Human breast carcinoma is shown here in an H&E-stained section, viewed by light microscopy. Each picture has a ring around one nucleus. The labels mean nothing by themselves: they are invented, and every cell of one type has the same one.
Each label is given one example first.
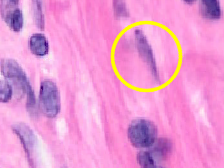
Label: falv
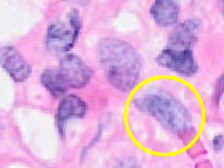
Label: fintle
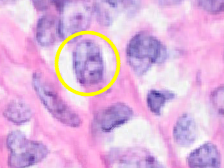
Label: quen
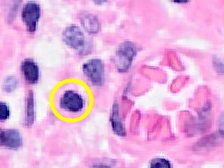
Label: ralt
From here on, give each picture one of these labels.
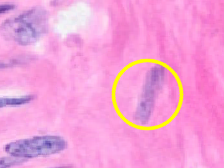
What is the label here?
falv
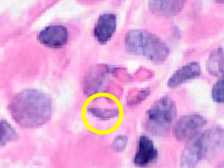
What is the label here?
fintle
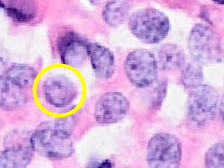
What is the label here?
quen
